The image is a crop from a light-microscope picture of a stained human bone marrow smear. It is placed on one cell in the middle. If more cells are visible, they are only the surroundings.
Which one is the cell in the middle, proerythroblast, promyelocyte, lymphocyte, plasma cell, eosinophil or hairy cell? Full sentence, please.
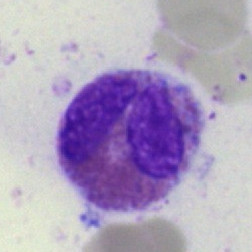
The cell of interest, located centrally, is an eosinophil.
